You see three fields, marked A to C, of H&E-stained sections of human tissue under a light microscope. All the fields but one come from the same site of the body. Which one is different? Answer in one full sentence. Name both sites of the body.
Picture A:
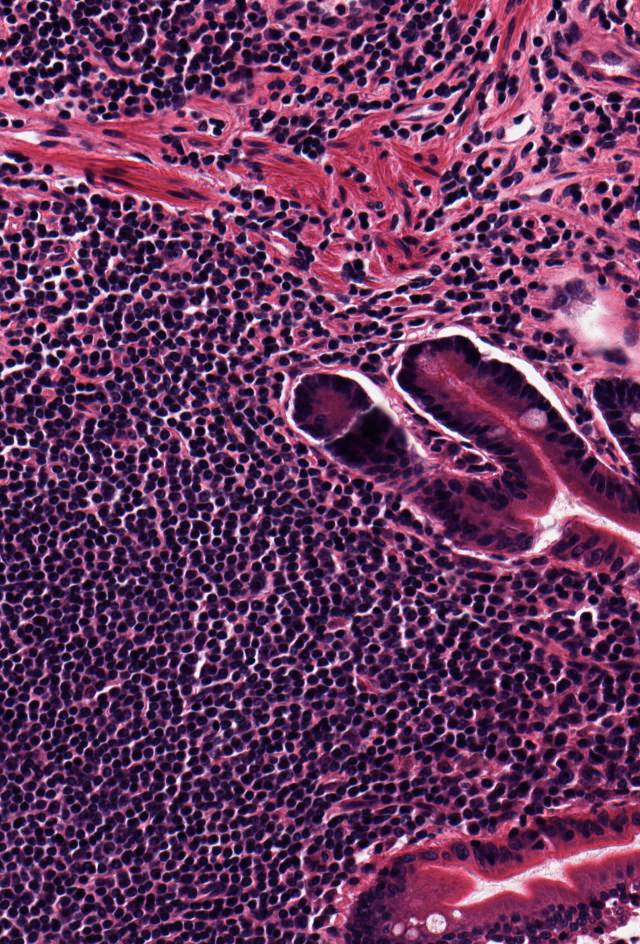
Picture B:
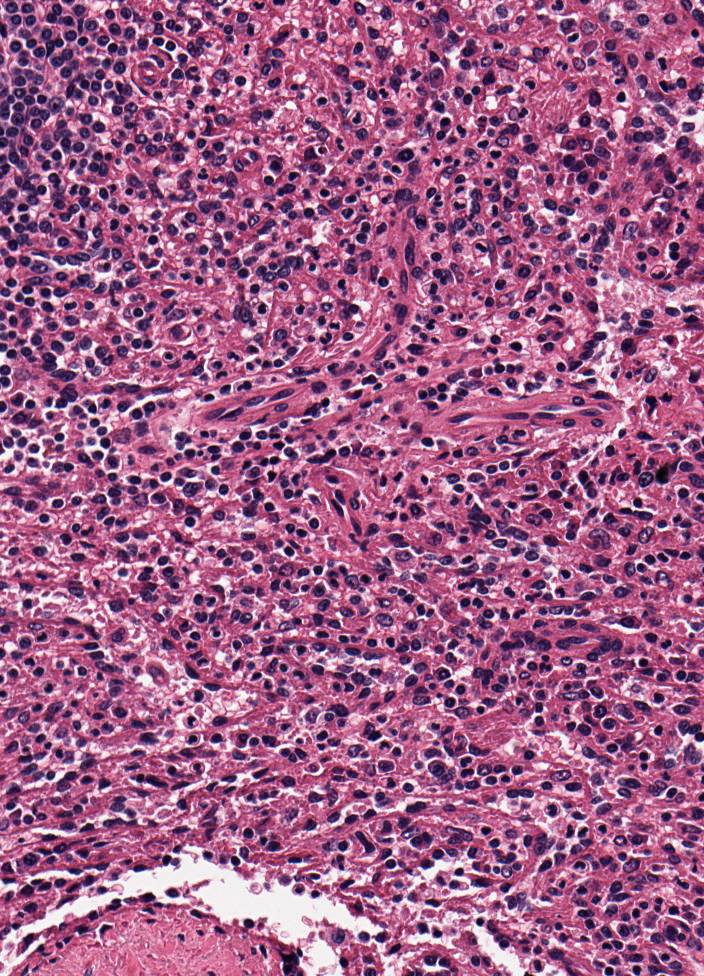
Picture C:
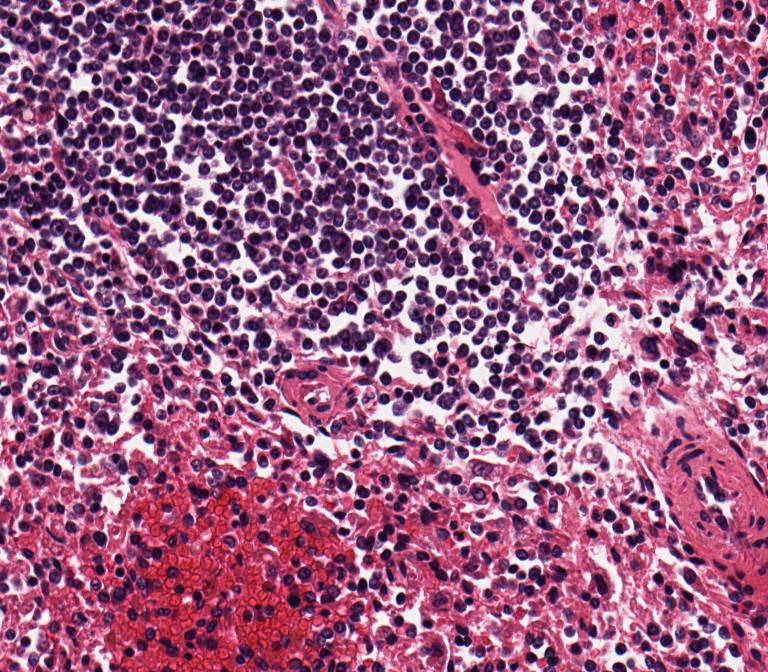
Picture A is the odd one out: it comes from the terminal ileum, while the others come from the spleen.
